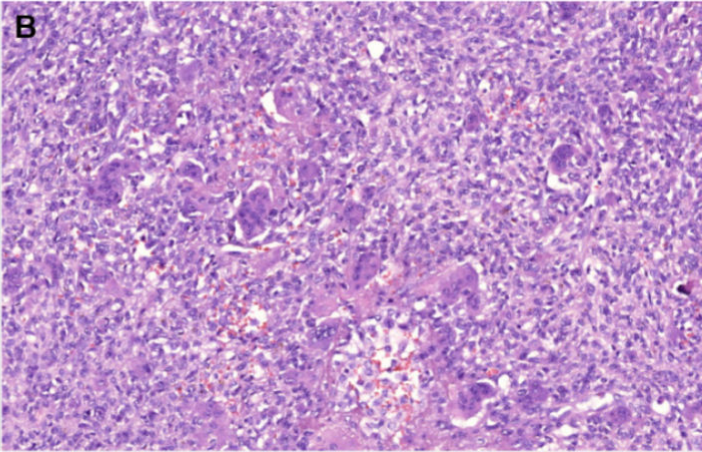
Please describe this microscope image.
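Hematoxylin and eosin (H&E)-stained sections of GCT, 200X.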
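Cellular tumor tissue in which giant multinucleated cells resembling osteoclasts are scattered through a dense background of mononuclear spindle cells. The giant cells are large, with abundant pink cytoplasm and many nuclei crowded together. The background cells are small and closely packed, with oval to elongated purple nuclei and scant, ill-defined cytoplasm. Small collections of red blood cells lie between the cells in places. No organized layering is seen.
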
